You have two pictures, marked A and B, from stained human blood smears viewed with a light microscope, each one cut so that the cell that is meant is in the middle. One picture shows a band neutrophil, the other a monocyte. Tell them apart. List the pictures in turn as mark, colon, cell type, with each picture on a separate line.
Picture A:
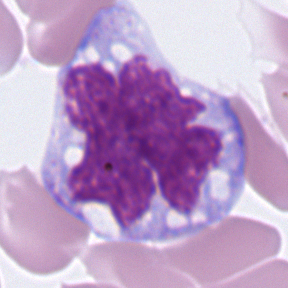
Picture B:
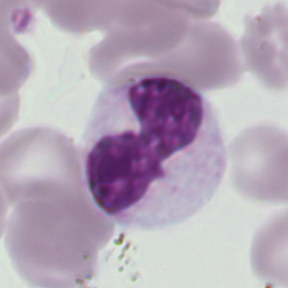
A: monocyte
B: band neutrophil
